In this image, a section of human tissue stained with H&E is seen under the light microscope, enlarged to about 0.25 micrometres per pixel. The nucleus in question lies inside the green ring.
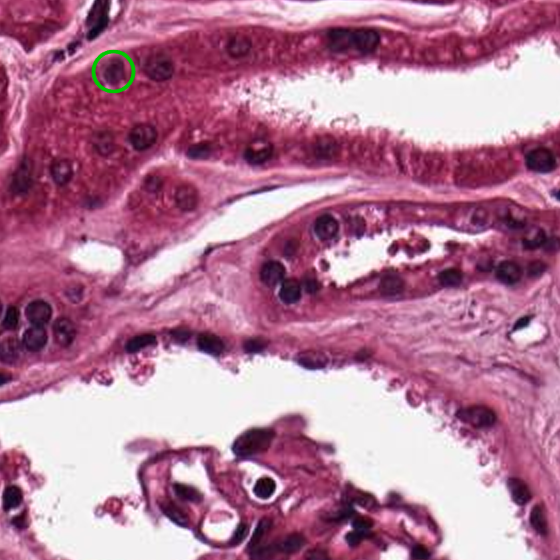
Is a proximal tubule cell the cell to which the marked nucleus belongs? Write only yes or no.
yes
